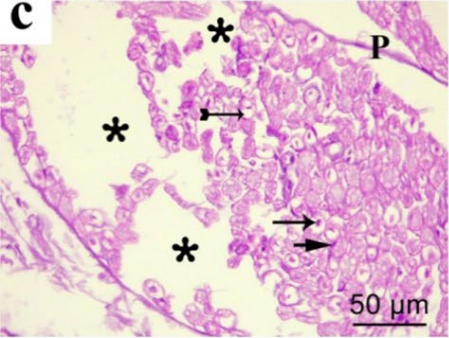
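Transverse section of a peripheral nerve in which the nerve fibers are widely separated by large empty pale spaces, with fragmented, scattered fiber cross-sections along their margins. Elsewhere the fibers appear as round profiles with pink centres surrounded by pale rings, with a few small dark nuclei between them. A thin pink perineurial sheath bounds the section.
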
